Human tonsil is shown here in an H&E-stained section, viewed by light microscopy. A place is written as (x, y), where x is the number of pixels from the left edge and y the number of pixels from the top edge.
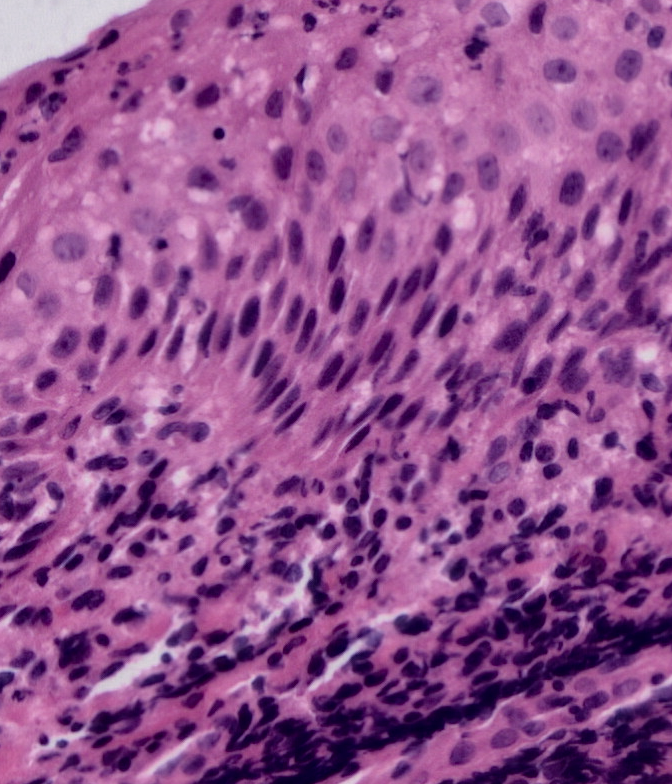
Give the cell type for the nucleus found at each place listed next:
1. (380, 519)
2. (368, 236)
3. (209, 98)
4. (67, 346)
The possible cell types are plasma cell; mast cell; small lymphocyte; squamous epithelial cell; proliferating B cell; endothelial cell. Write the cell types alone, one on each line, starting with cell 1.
plasma cell
squamous epithelial cell
squamous epithelial cell
squamous epithelial cell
